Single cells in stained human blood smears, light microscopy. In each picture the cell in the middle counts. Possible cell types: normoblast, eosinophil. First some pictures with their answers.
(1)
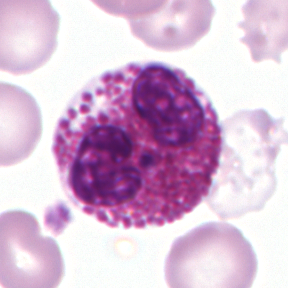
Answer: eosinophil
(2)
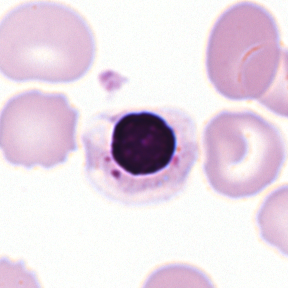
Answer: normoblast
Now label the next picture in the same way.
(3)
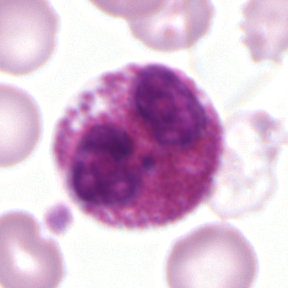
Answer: eosinophil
